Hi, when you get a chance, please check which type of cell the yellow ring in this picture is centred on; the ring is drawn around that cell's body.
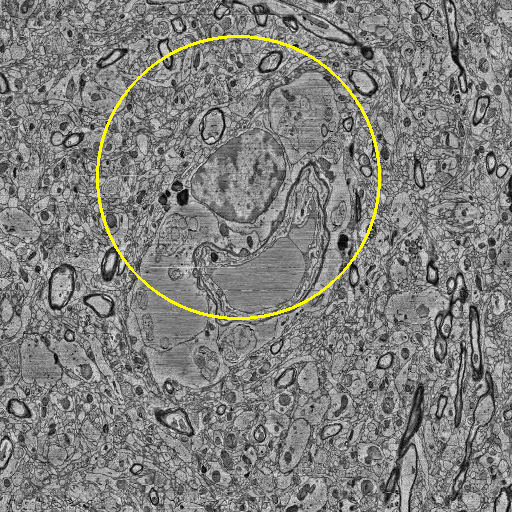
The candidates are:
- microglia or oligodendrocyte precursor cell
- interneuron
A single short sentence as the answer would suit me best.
The ring is drawn around the body of a microglial cell or oligodendrocyte precursor cell.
